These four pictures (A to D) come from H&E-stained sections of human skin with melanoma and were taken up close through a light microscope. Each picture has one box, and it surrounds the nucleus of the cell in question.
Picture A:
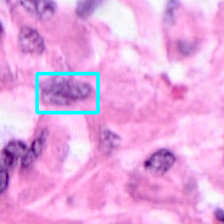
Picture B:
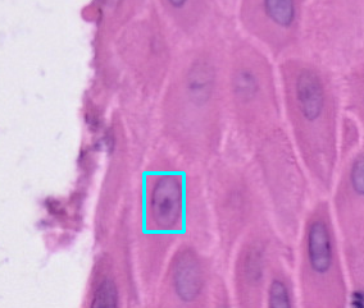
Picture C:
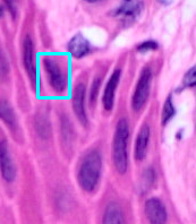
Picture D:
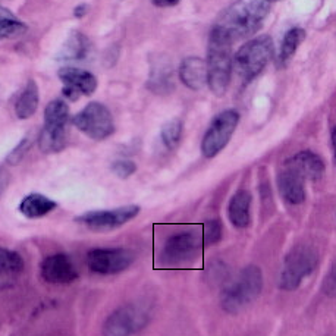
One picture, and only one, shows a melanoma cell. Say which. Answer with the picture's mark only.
A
